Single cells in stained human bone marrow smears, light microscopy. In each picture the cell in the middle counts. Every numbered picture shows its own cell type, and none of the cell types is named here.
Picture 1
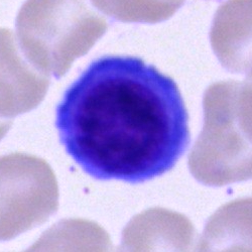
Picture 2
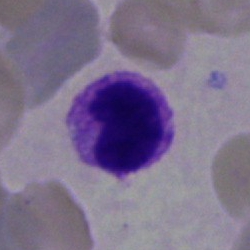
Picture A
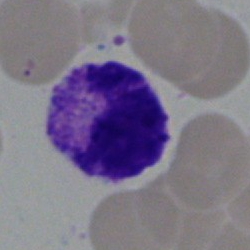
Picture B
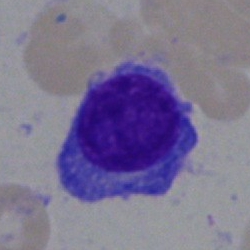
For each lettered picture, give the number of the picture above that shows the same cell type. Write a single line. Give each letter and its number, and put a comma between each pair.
A 2, B 1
